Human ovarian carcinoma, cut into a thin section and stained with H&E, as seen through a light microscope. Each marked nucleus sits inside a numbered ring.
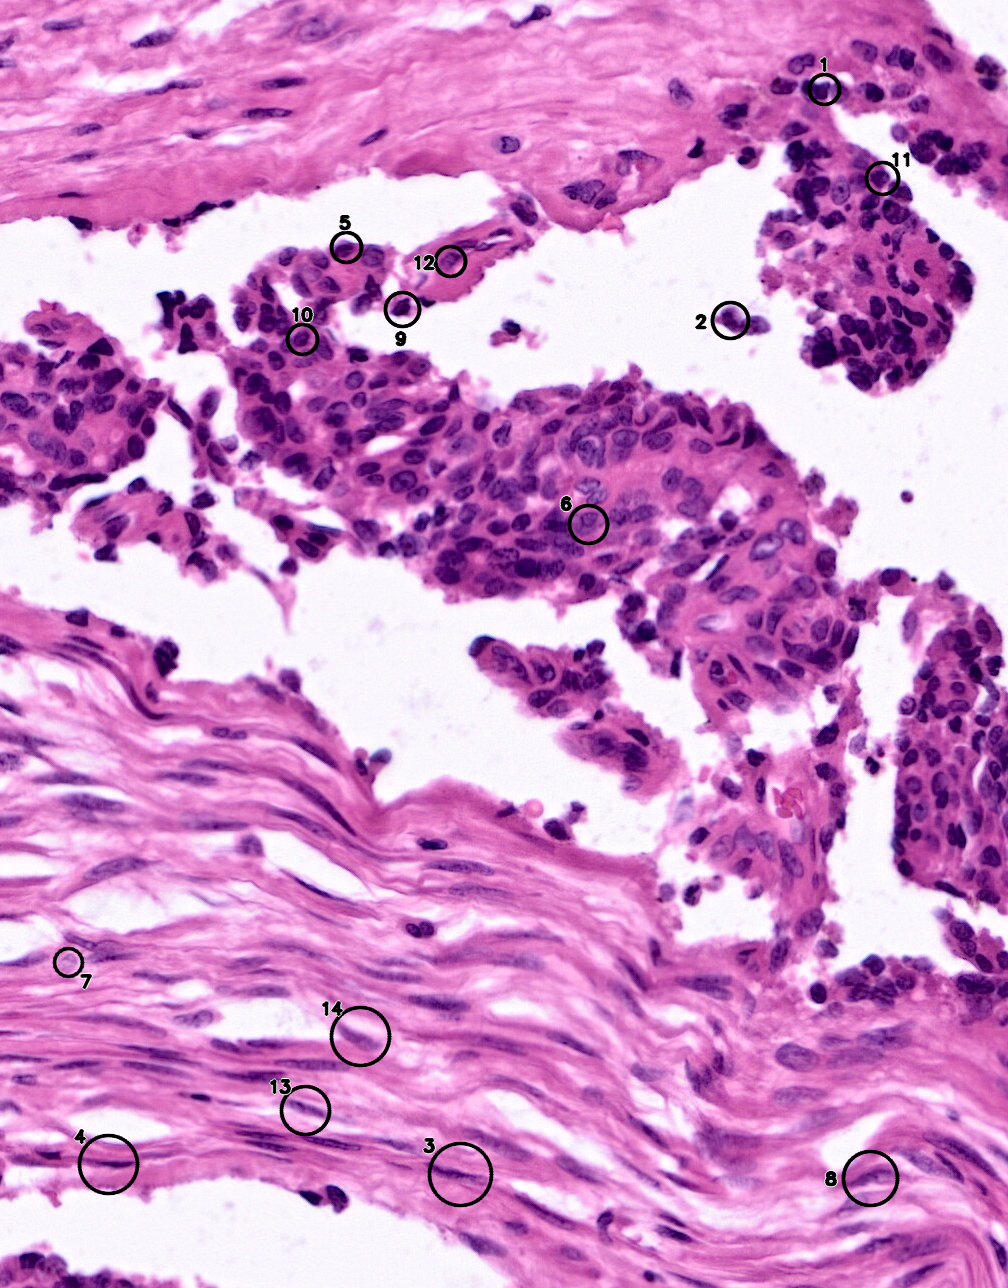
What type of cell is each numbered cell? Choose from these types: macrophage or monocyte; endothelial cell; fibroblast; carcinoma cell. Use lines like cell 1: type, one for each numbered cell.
cell 1: carcinoma cell
cell 2: carcinoma cell
cell 3: fibroblast
cell 4: fibroblast
cell 5: carcinoma cell
cell 6: carcinoma cell
cell 7: fibroblast
cell 8: fibroblast
cell 9: carcinoma cell
cell 10: carcinoma cell
cell 11: carcinoma cell
cell 12: endothelial cell
cell 13: fibroblast
cell 14: fibroblast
